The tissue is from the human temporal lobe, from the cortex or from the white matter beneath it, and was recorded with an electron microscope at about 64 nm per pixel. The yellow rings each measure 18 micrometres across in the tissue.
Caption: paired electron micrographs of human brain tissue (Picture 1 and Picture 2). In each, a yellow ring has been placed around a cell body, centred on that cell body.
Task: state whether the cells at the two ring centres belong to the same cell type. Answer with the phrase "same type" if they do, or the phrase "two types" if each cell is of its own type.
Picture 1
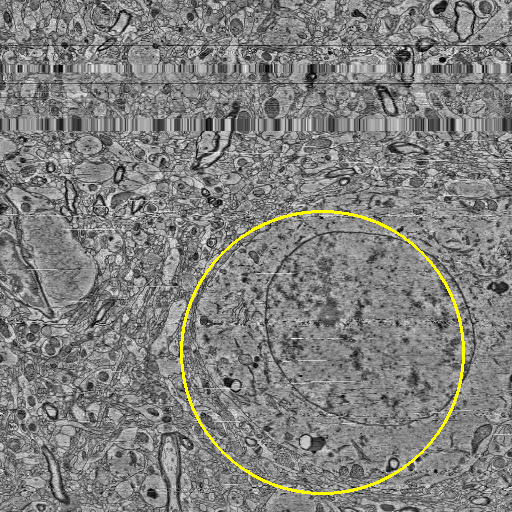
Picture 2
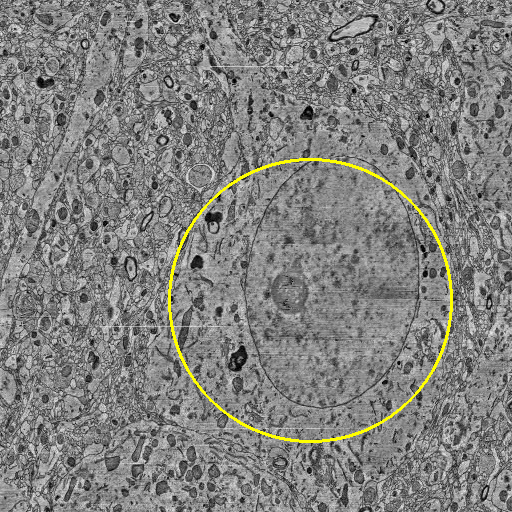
same type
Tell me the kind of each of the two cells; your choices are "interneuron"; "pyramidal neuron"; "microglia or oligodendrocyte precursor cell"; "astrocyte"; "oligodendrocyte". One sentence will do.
The second cell is a pyramidal neuron, just as the first is.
